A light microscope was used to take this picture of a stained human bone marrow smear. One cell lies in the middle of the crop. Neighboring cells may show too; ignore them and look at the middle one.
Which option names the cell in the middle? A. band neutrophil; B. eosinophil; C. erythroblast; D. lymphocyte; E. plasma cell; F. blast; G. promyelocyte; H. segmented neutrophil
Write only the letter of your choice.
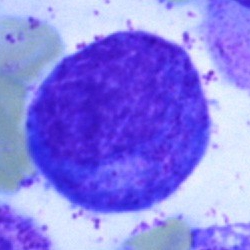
G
